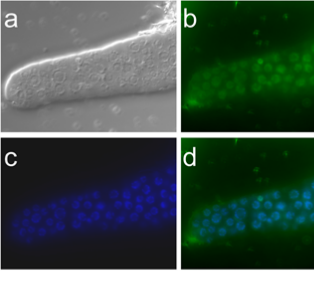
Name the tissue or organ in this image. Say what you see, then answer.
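A tube-shaped organ with a rounded end. It is packed with many round nuclei of similar size.
Hence: germline.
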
